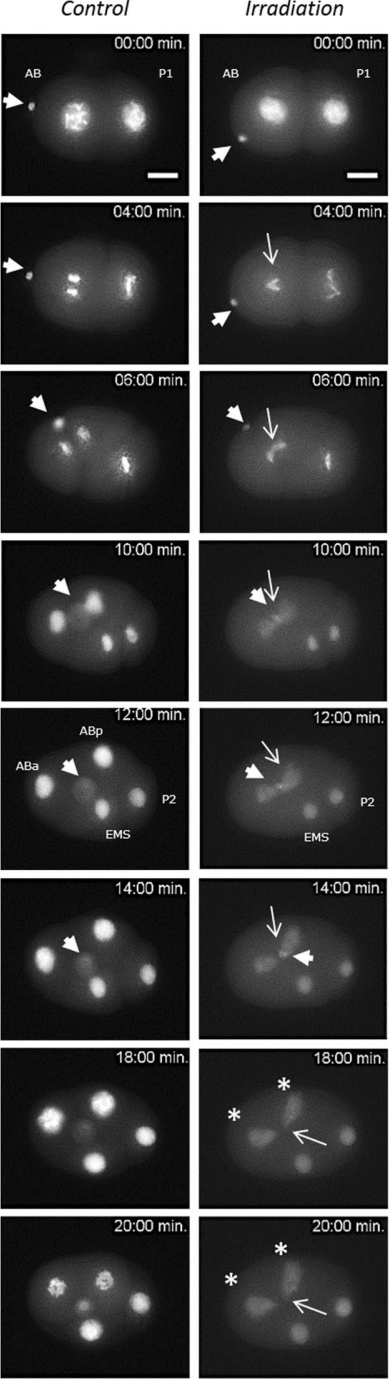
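This time-lapse series shows early nematode embryos with the chromatin of each cell glowing bright, as the two cells of the embryo divide into four. At the start each of the two cells holds one rounded nucleus; the chromatin then condenses into compact bars and separates as the cells divide. Small bright dots, the polar bodies, lie at the edge of the embryo apart from the nuclei.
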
